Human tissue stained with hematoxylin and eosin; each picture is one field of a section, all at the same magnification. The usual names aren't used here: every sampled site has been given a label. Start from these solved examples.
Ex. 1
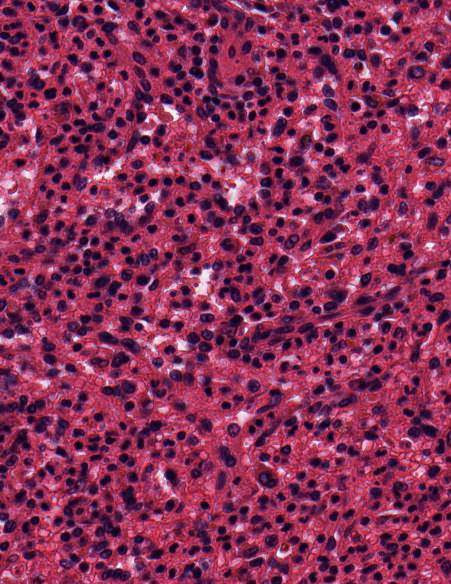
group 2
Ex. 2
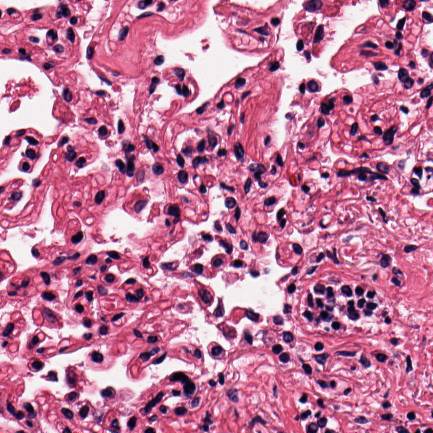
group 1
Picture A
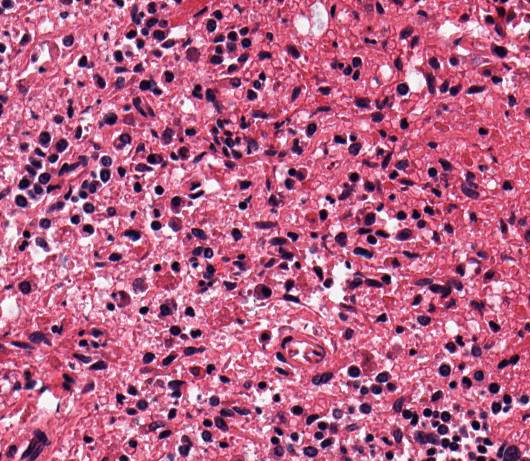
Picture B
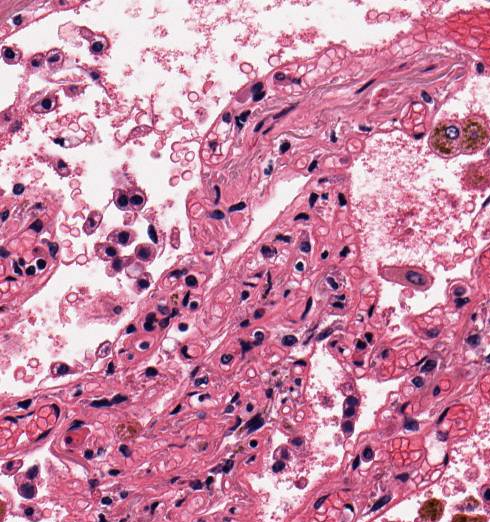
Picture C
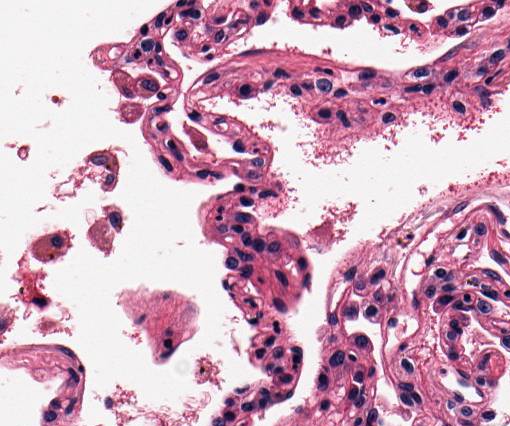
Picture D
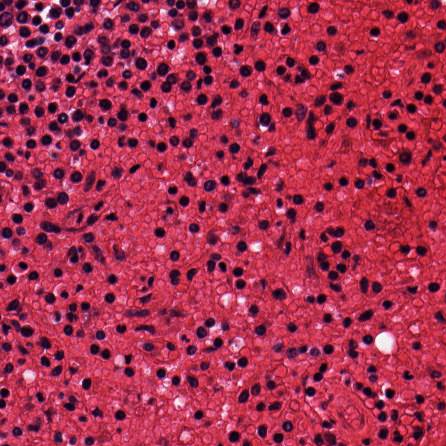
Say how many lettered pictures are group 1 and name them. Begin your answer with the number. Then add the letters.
Count: 2 (B, C)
